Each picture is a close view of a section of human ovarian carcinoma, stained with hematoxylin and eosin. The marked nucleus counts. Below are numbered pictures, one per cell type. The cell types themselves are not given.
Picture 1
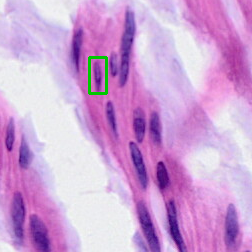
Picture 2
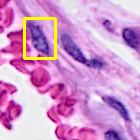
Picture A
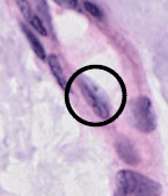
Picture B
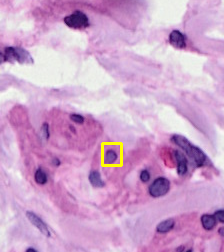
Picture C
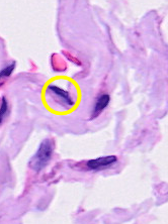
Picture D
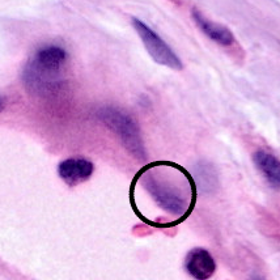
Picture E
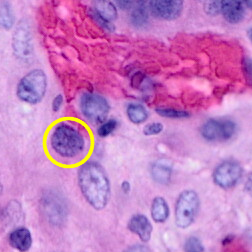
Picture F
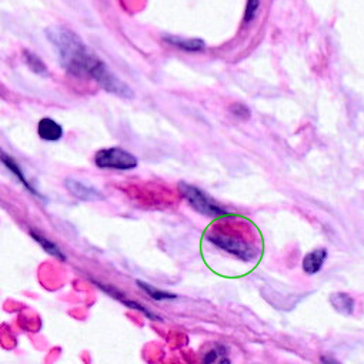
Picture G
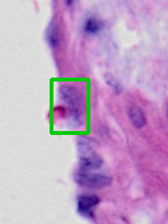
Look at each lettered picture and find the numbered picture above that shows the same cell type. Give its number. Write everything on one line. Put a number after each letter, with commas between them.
A 2, B 1, C 2, D 2, E 2, F 2, G 2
